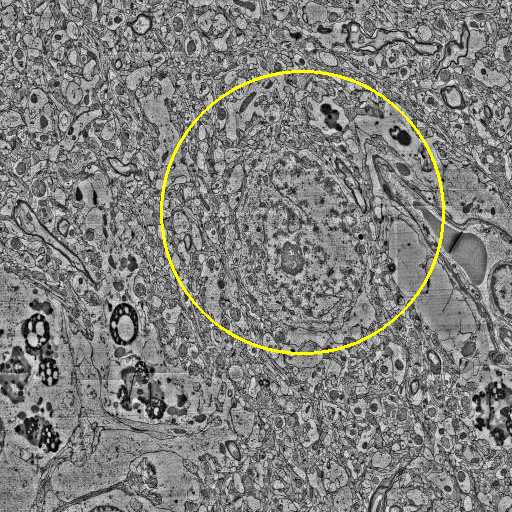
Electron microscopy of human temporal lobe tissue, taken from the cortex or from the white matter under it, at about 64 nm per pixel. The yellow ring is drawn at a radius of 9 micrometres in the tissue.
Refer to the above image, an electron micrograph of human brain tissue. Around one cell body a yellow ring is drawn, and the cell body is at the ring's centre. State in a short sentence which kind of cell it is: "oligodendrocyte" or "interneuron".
The centre of the ring falls on an interneuron.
